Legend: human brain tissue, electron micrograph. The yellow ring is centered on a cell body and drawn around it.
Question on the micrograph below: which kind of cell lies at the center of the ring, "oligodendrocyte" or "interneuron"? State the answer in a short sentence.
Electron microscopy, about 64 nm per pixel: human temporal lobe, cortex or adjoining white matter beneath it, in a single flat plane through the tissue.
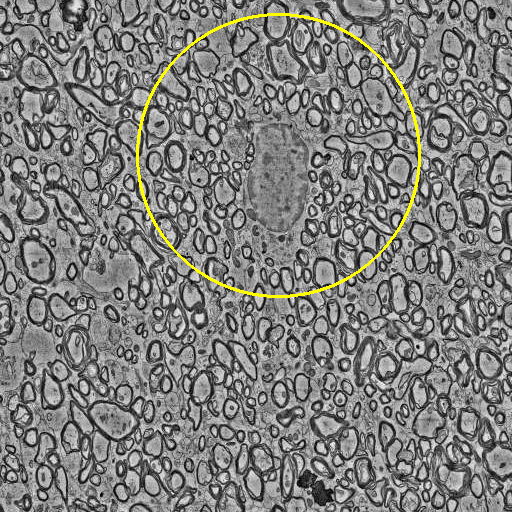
At the center of the ring lies an oligodendrocyte.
